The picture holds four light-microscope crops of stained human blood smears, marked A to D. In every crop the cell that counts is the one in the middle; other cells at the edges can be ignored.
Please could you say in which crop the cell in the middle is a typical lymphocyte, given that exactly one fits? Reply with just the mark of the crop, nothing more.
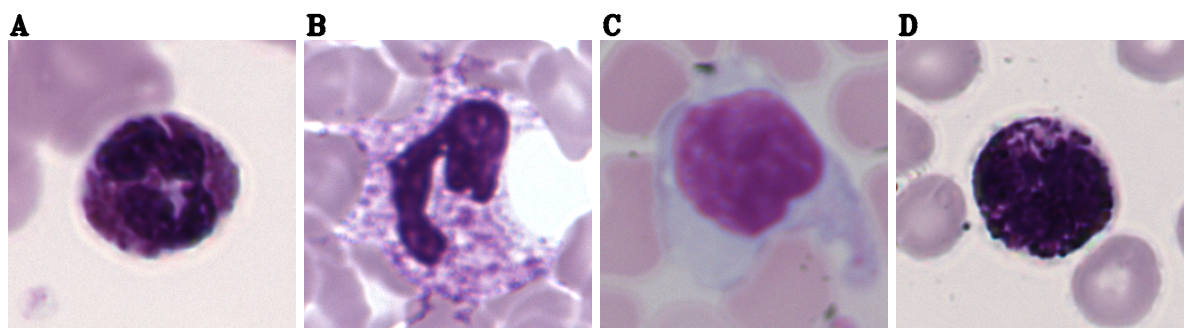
C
